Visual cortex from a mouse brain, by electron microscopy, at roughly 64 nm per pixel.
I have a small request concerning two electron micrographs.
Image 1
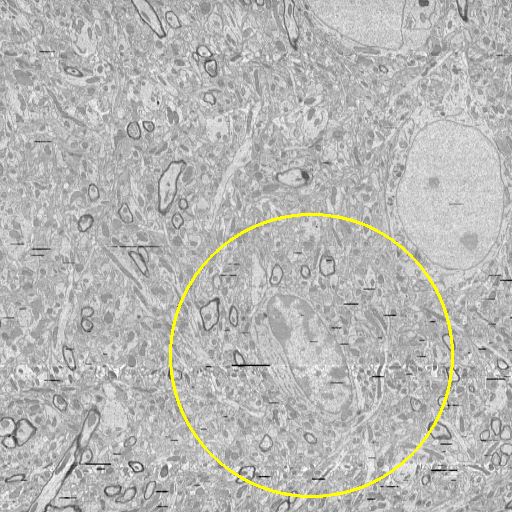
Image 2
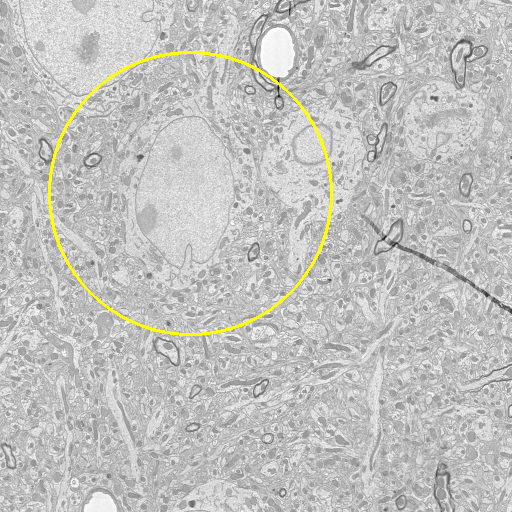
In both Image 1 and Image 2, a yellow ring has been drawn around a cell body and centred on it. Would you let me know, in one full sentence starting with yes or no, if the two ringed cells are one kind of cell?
No, the cells ringed in Image 1 and Image 2 are two kinds of cell.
